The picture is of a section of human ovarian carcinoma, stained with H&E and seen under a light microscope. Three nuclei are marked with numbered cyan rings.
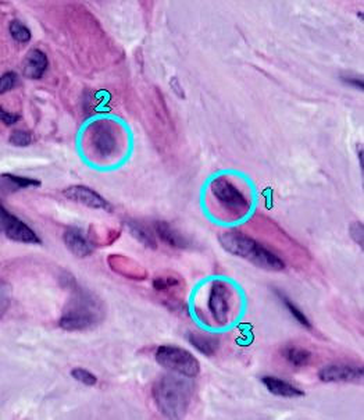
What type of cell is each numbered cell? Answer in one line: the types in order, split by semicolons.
smooth muscle cell; smooth muscle cell; endothelial cell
